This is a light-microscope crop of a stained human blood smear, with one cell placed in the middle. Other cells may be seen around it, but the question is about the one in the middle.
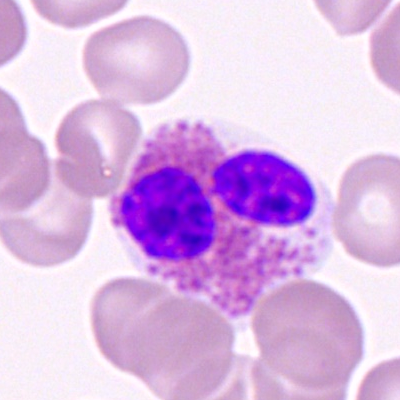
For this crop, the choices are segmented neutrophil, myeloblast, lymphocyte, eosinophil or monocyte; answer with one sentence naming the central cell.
In this crop, the cell at the very middle is an eosinophil.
